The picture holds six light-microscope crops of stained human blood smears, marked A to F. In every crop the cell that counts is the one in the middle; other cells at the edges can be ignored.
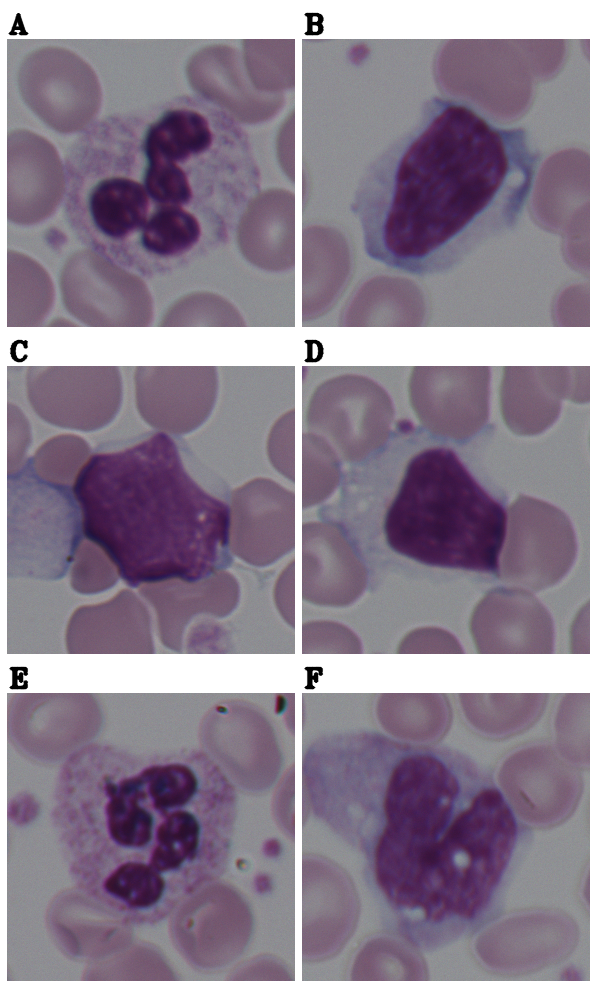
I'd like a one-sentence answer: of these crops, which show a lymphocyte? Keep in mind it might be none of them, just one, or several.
Crops B, C and D have lymphocytes as the central cells.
